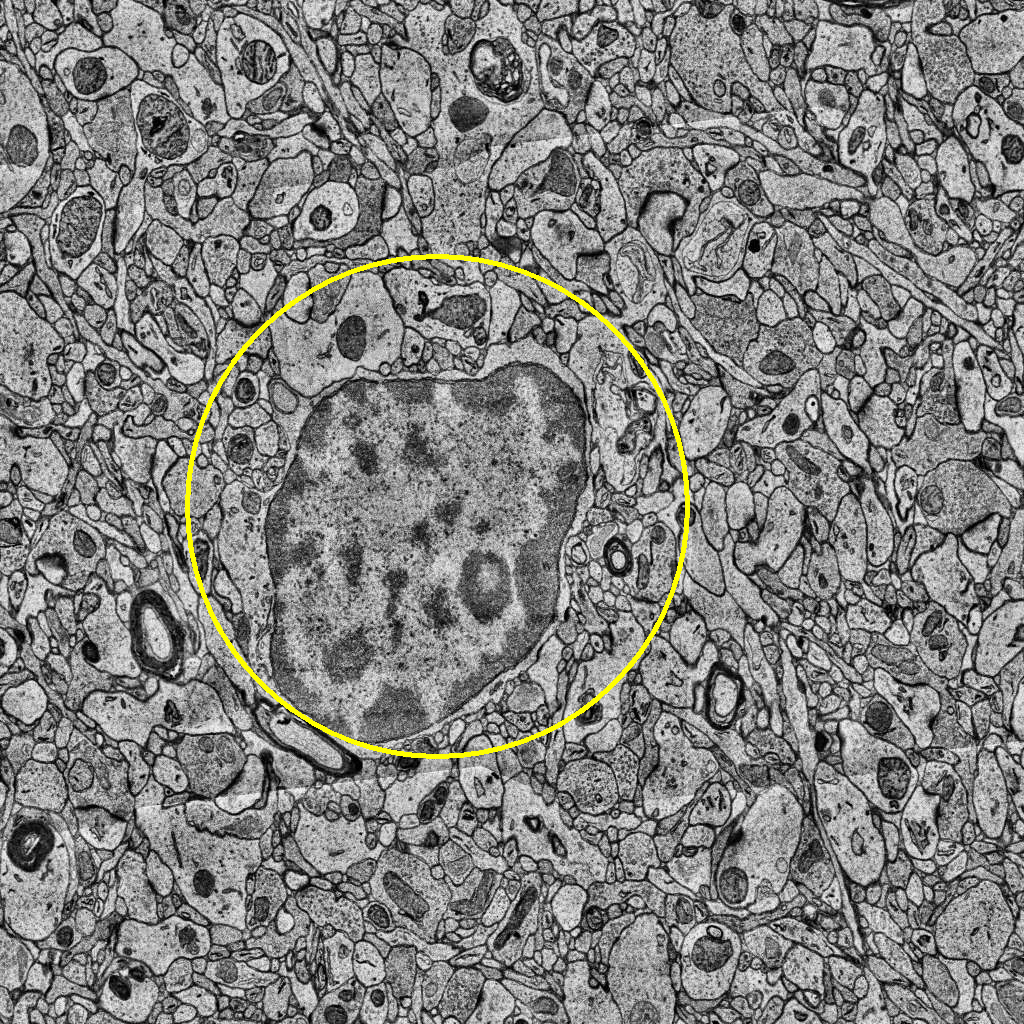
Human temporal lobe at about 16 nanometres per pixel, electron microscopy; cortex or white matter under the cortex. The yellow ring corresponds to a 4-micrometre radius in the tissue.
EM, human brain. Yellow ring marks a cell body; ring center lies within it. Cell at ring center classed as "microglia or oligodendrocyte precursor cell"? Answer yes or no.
yes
